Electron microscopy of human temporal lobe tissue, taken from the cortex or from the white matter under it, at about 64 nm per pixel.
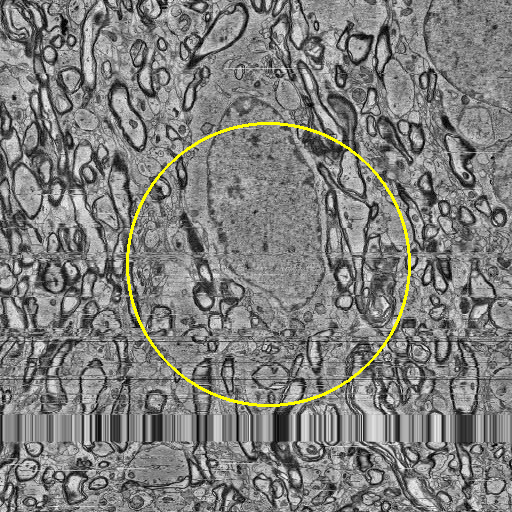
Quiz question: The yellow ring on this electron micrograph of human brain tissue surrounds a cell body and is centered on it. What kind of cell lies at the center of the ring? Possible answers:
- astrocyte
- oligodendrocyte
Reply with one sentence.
The ring's center lies on an astrocyte.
